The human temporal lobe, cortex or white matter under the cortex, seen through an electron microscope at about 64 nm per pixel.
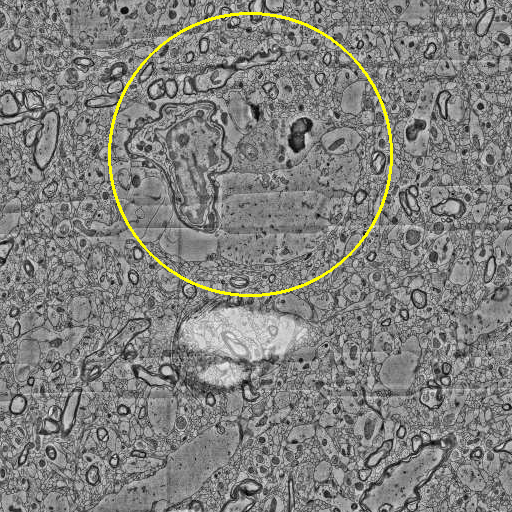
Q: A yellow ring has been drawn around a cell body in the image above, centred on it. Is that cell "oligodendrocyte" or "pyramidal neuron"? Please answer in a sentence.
The ring surrounds the cell body of an oligodendrocyte.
